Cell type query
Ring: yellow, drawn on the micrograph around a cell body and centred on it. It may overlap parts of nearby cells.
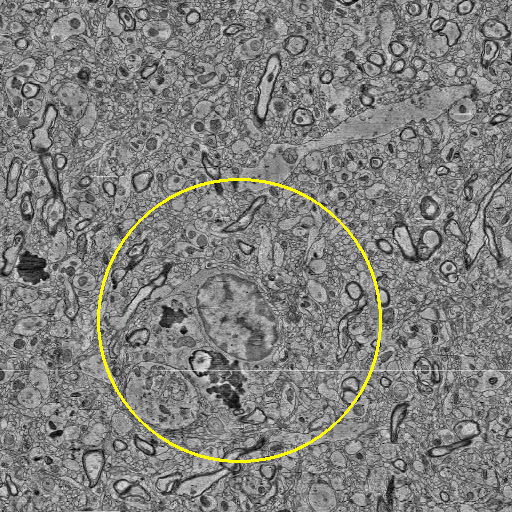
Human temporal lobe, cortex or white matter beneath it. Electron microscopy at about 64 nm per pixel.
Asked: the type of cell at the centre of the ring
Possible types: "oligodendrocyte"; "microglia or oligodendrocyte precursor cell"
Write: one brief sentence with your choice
The ring marks an oligodendrocyte.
